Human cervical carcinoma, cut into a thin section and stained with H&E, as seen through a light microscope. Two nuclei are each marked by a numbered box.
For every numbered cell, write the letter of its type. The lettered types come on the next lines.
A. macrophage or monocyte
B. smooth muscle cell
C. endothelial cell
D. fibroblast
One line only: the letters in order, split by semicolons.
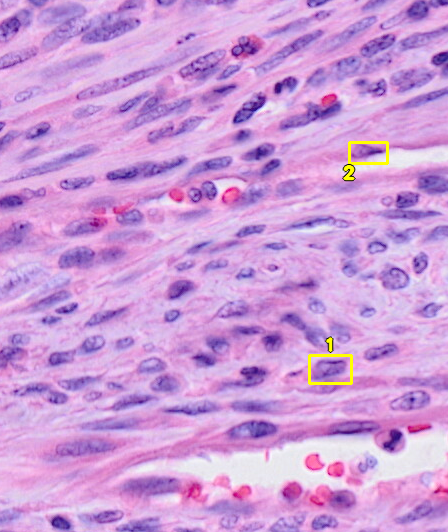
A; C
